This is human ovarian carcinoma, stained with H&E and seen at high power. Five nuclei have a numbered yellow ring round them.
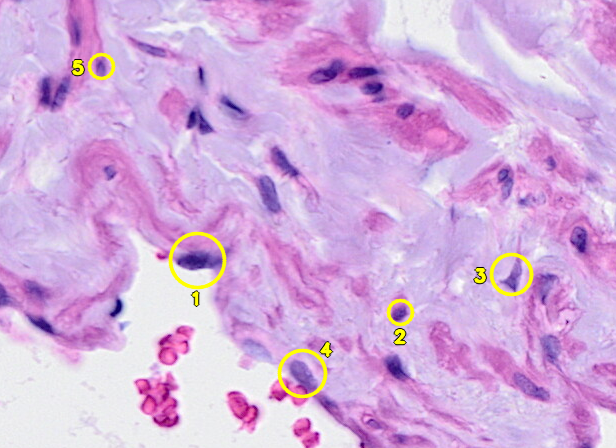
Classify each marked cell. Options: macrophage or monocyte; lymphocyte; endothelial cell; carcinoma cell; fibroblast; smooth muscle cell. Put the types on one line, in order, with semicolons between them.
endothelial cell; smooth muscle cell; fibroblast; endothelial cell; smooth muscle cell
